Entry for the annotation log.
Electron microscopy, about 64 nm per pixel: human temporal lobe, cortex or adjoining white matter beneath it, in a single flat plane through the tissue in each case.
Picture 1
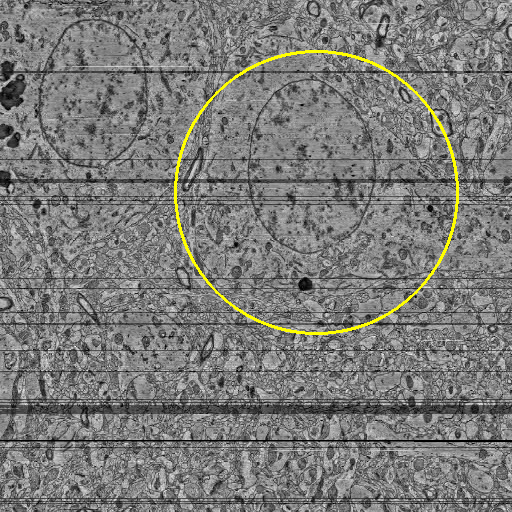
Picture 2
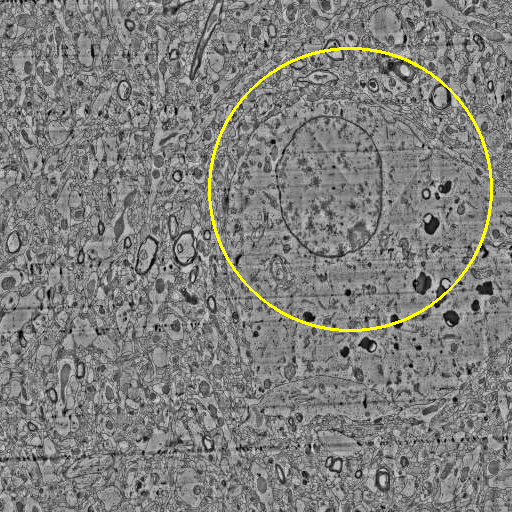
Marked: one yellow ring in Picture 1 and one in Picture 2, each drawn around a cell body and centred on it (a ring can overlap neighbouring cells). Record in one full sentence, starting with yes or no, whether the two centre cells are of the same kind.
Yes, both cells are of the same kind.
